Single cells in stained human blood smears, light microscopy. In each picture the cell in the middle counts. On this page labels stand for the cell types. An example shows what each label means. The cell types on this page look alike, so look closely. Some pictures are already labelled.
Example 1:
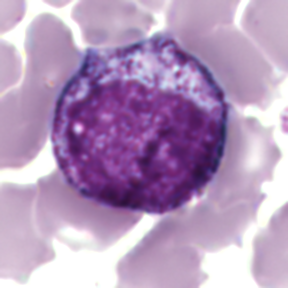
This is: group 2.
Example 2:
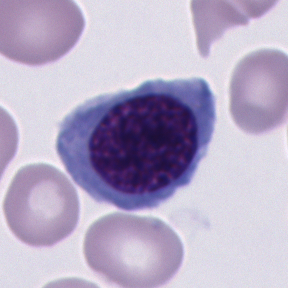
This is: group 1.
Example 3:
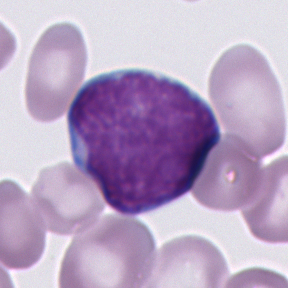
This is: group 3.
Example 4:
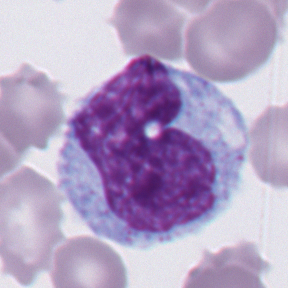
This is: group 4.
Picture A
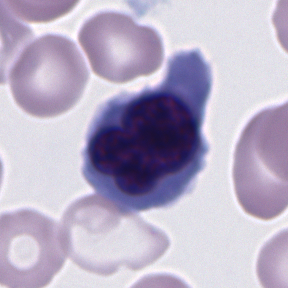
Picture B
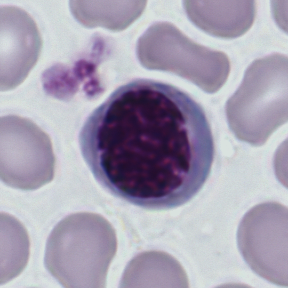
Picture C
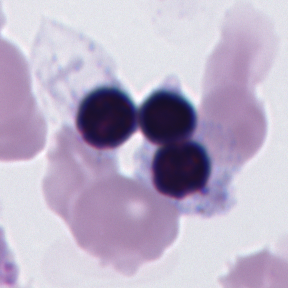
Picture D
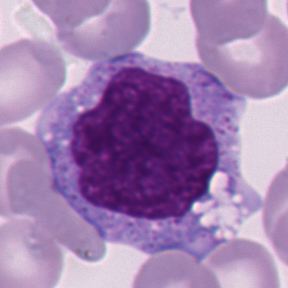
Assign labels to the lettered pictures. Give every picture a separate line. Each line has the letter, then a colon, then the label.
A: group 1.
B: group 1.
C: group 1.
D: group 4.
